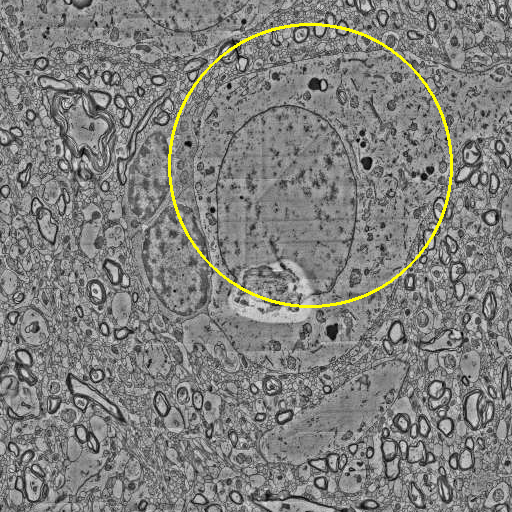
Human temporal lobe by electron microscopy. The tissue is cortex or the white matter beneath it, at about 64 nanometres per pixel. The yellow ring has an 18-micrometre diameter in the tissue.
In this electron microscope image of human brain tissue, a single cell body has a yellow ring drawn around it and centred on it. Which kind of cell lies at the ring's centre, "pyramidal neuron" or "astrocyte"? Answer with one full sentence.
It is a pyramidal neuron whose cell body lies at the centre of the yellow ring here.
